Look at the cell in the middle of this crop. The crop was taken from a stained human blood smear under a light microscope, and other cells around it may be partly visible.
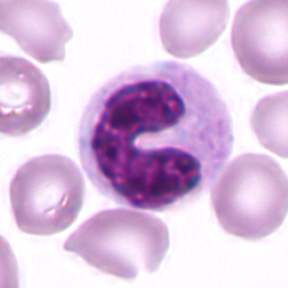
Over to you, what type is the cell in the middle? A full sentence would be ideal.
Within this crop, a band neutrophil occupies the central position.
